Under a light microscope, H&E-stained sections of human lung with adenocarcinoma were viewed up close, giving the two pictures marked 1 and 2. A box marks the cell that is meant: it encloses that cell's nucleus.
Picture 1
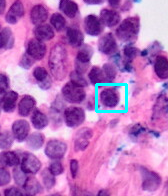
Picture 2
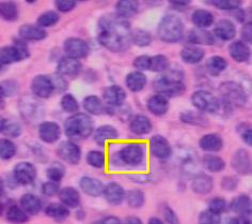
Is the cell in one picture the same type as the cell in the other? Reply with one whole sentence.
Yes, both are lymphocytes.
